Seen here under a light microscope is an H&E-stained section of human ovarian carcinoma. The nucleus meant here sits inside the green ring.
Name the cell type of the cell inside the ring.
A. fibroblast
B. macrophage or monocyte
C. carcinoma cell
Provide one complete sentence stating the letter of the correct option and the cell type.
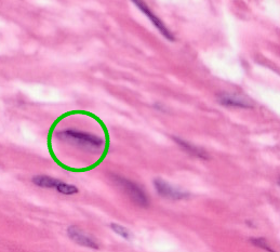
According to option A, the cell inside the ring is a fibroblast, and this is correct.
